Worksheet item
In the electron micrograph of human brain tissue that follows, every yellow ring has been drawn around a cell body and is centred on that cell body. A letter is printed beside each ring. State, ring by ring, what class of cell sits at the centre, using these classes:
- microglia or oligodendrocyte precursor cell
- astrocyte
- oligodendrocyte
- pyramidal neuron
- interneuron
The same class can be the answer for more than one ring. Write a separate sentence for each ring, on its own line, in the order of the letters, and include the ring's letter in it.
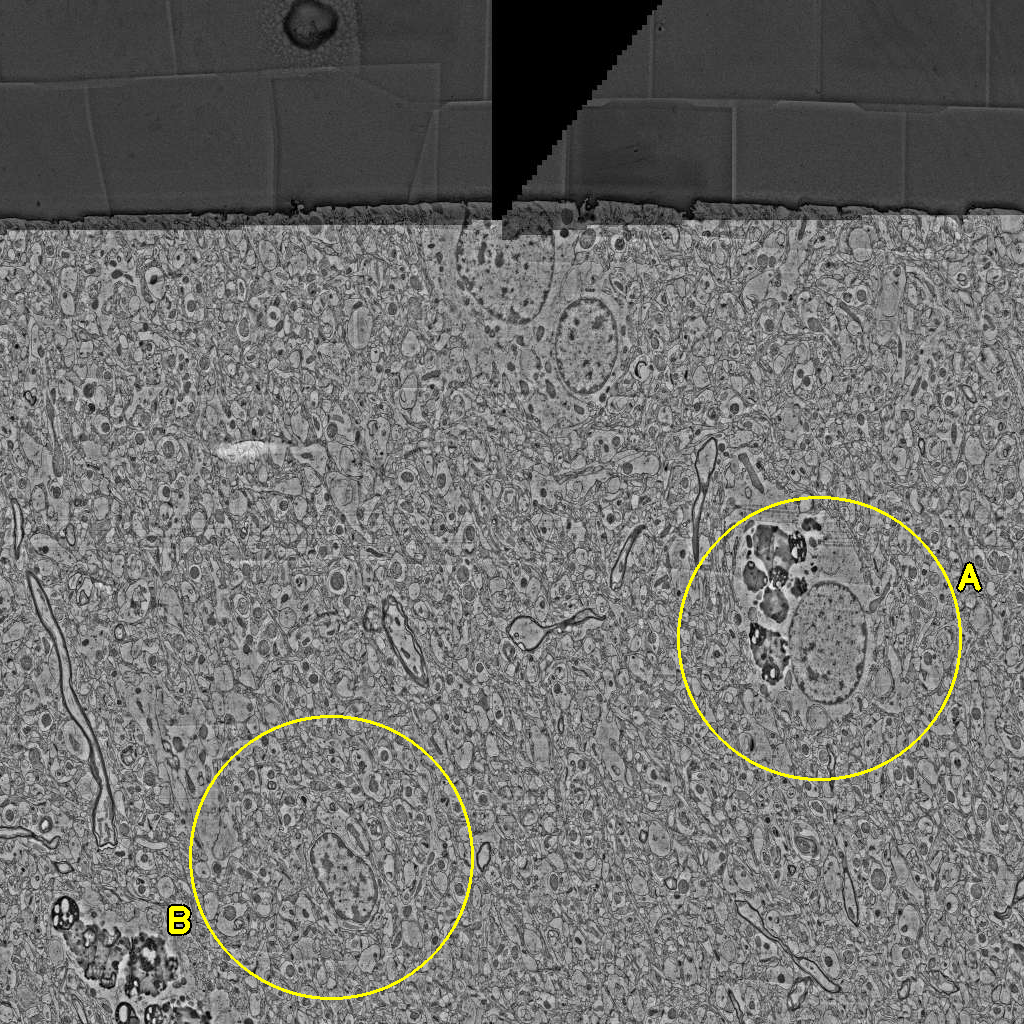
At the centre of ring A sits an astrocyte.
At the centre of ring B sits a microglial cell or oligodendrocyte precursor cell.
